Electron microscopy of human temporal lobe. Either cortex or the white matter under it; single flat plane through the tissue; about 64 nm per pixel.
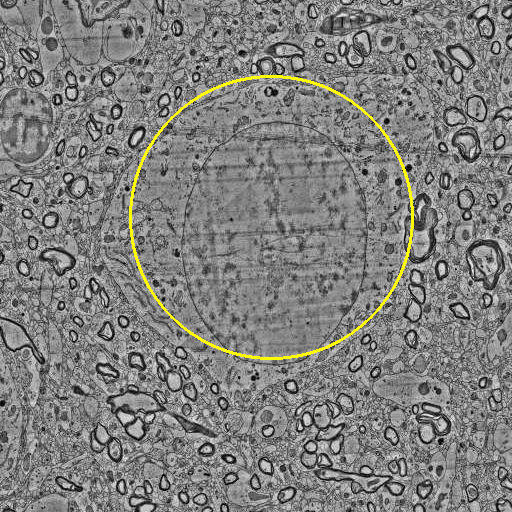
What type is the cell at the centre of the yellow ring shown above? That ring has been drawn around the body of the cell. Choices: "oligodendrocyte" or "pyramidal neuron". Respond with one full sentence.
My answer is that a pyramidal neuron lies at the centre of the yellow ring above.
